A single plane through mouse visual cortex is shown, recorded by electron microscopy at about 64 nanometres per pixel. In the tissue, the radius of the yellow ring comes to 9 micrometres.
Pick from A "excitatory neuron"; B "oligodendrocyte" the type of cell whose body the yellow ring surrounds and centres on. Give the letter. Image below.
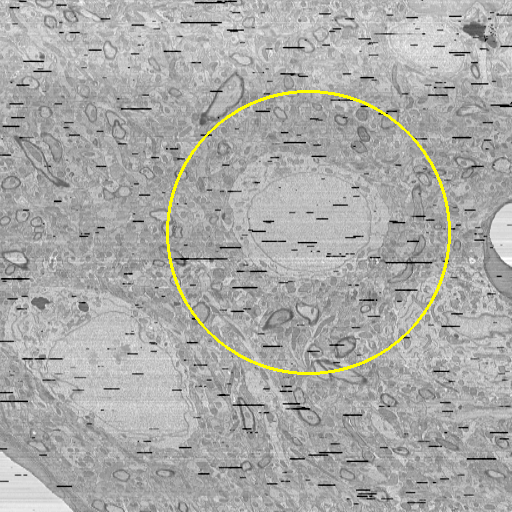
A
